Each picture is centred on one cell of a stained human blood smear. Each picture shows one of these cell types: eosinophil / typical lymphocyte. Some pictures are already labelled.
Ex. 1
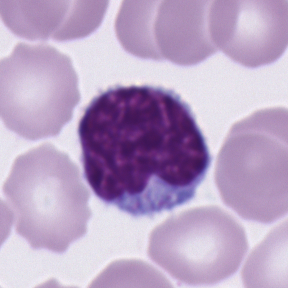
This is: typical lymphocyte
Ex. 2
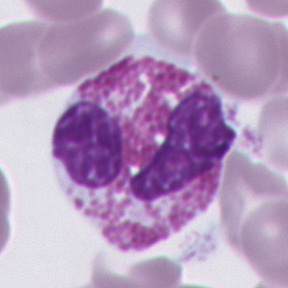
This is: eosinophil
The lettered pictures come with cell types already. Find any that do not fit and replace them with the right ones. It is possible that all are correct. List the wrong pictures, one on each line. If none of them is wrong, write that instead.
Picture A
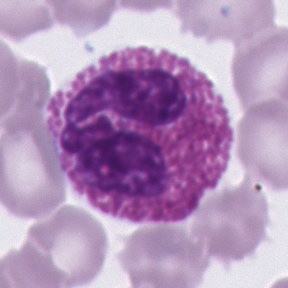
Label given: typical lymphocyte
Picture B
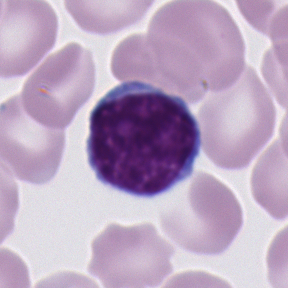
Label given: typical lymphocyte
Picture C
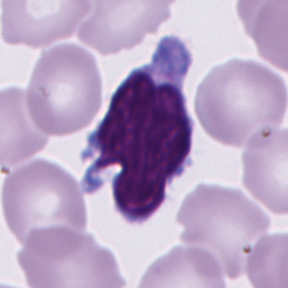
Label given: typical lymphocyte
A: not typical lymphocyte but eosinophil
